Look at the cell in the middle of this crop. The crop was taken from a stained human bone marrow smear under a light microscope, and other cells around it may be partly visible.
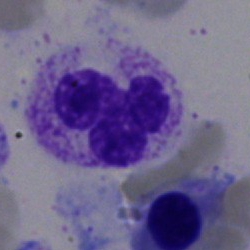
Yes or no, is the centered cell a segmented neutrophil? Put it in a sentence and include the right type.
Yes, a segmented neutrophil is the cell positioned in the middle of the field.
